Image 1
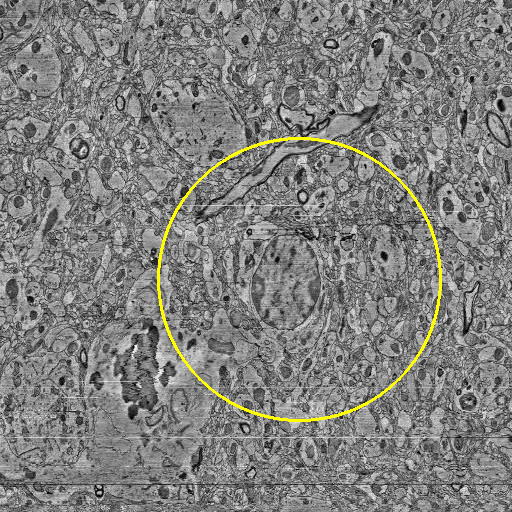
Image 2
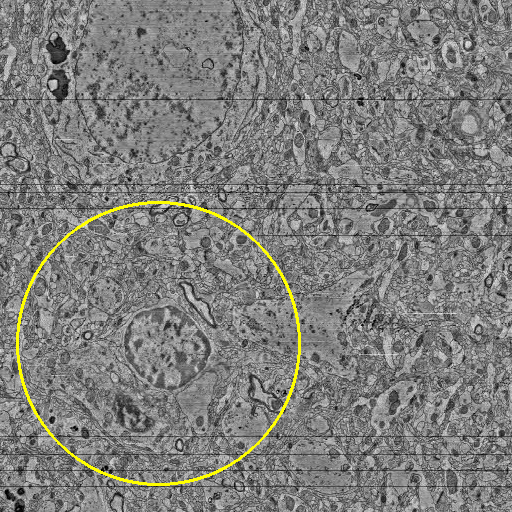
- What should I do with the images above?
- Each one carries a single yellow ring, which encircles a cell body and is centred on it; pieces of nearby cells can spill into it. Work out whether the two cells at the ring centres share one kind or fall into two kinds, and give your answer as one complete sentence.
The ring-centre cells of Image 1 and Image 2 share one kind.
